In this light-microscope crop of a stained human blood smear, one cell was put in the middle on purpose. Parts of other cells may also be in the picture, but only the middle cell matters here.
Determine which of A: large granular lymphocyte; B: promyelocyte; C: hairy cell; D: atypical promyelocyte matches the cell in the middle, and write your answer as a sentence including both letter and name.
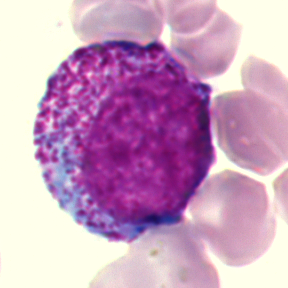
That cell in the center is a promyelocyte, hence option B.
